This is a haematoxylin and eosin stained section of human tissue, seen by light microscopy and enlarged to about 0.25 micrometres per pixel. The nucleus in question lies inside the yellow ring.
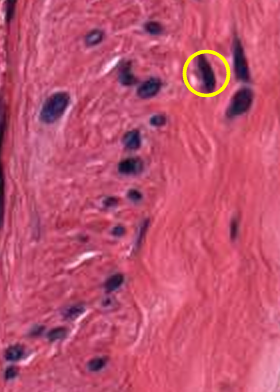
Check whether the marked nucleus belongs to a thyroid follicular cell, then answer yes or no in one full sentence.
No, the marked nucleus is found in a supporting cell instead of in a thyroid follicular cell.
